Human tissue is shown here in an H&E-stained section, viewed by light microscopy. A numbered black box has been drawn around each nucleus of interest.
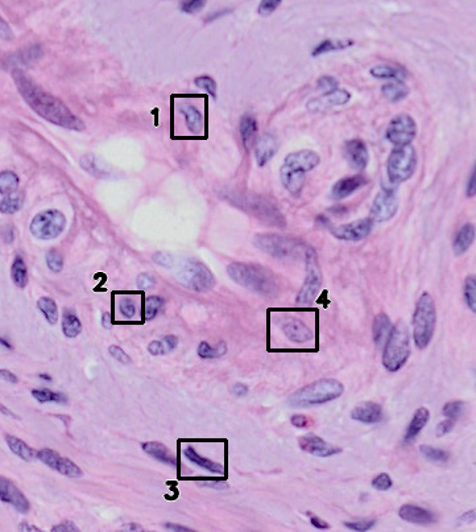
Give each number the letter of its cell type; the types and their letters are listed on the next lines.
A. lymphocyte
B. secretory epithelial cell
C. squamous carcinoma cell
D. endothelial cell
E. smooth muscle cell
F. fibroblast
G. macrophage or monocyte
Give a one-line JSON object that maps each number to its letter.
{"1": "E", "2": "E", "3": "F", "4": "E"}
